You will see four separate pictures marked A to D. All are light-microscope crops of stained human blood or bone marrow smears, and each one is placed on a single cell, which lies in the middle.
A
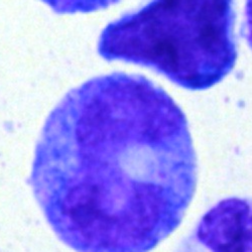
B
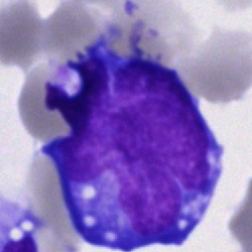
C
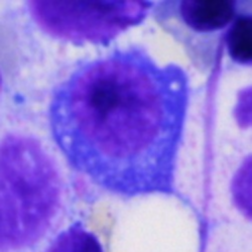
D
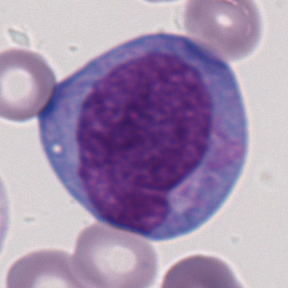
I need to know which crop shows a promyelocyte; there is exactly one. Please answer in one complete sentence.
Among the crops provided, a promyelocyte occupies the center of crop D.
